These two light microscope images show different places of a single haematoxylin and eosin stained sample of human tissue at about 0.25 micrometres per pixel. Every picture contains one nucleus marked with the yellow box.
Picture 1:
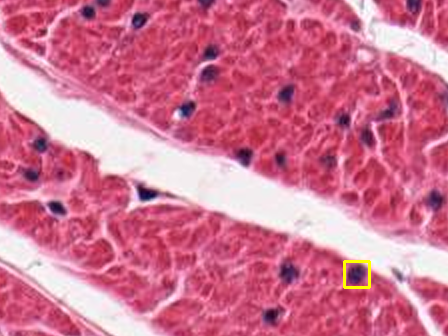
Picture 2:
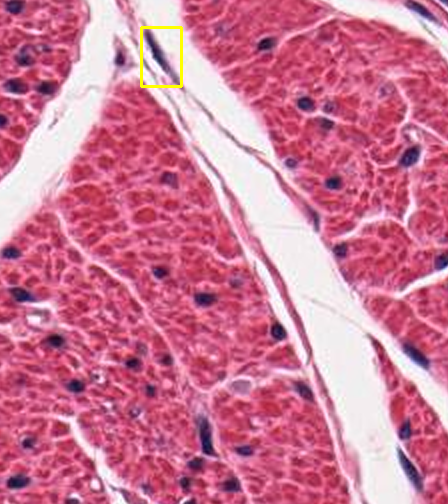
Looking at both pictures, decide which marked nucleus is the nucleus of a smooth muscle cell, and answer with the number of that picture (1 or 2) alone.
1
